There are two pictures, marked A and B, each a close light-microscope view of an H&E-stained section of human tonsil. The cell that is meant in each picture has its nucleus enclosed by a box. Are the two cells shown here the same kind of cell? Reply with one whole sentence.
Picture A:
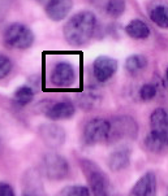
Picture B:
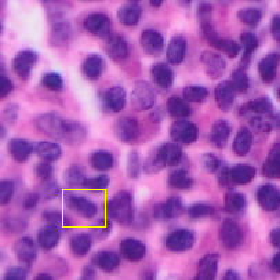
No, picture A shows a plasma cell and picture B shows a small lymphocyte.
